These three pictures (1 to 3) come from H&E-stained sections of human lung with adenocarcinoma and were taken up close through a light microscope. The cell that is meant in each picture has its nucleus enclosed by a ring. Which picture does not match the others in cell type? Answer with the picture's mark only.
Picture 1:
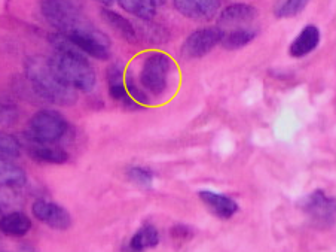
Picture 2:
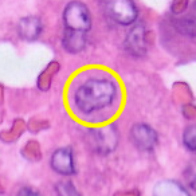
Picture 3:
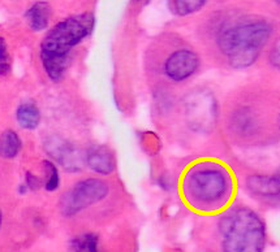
1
